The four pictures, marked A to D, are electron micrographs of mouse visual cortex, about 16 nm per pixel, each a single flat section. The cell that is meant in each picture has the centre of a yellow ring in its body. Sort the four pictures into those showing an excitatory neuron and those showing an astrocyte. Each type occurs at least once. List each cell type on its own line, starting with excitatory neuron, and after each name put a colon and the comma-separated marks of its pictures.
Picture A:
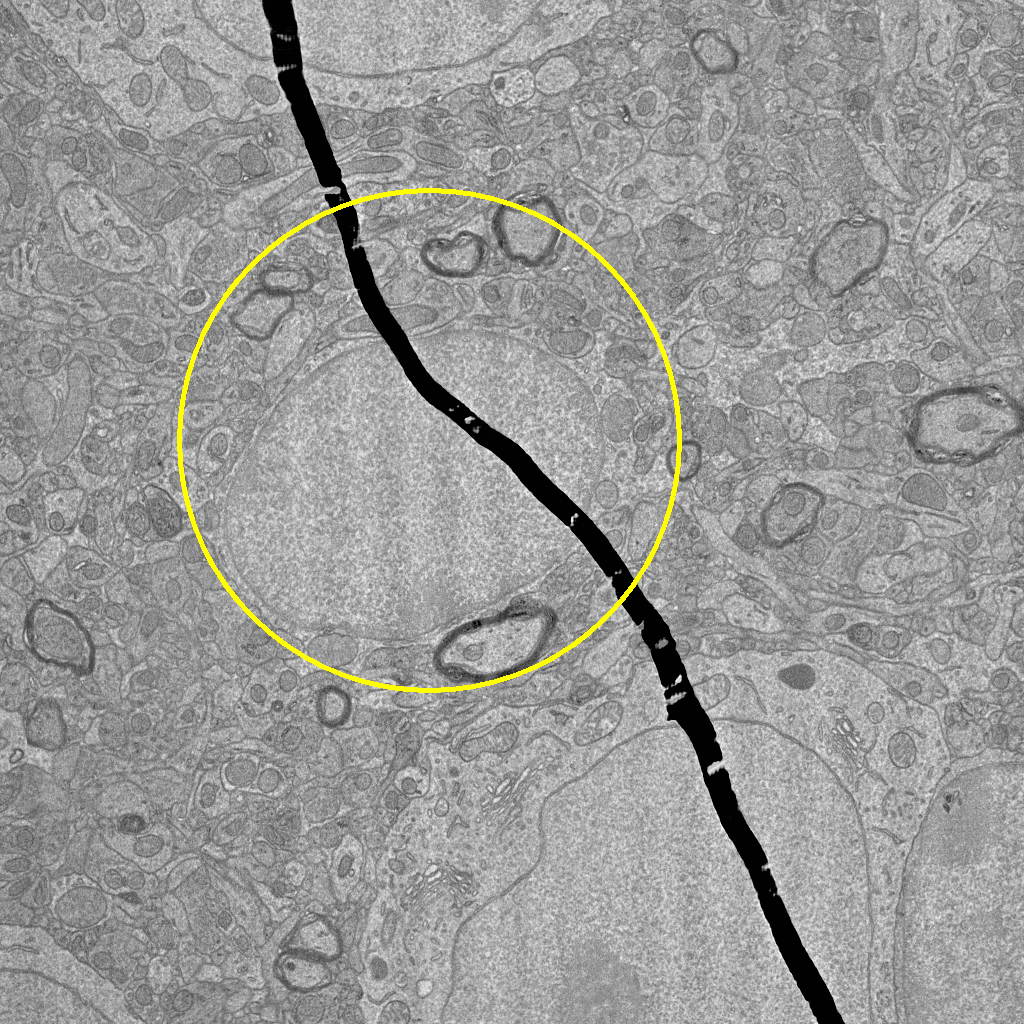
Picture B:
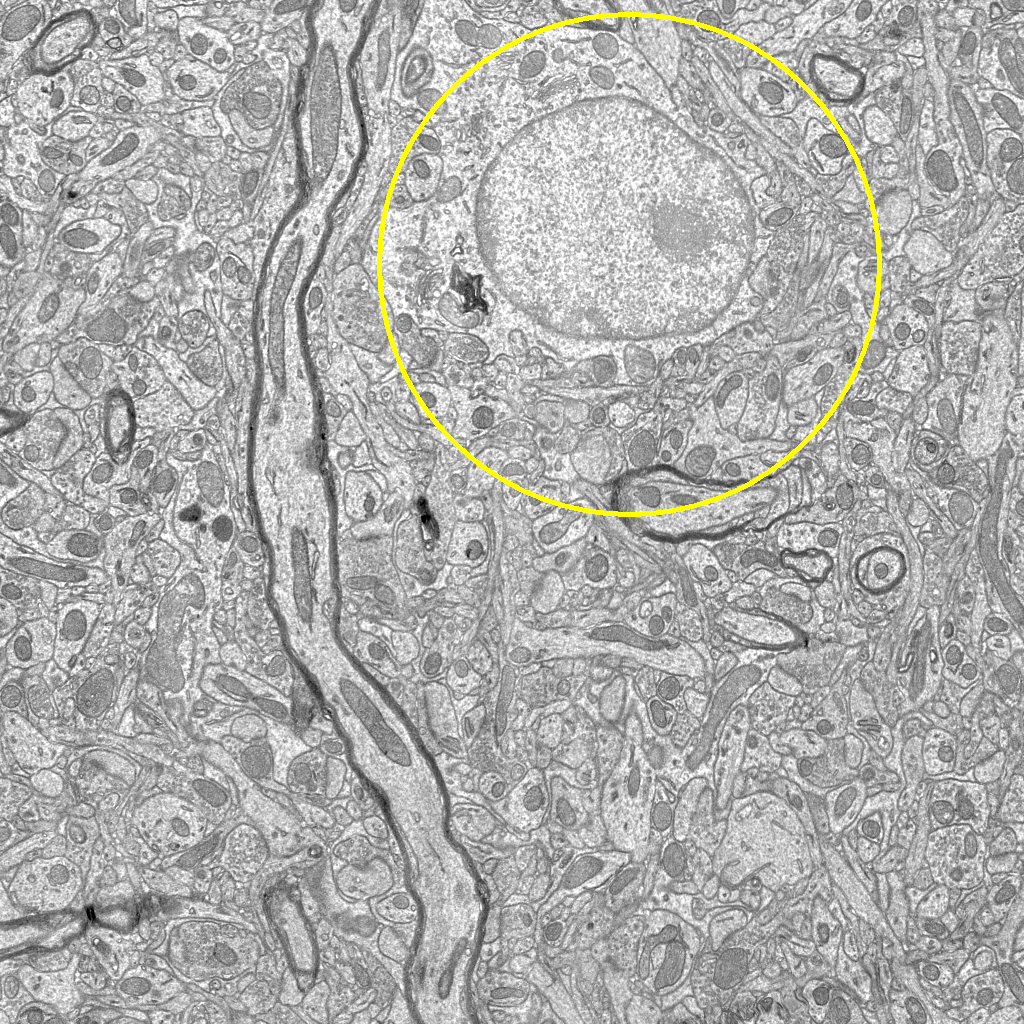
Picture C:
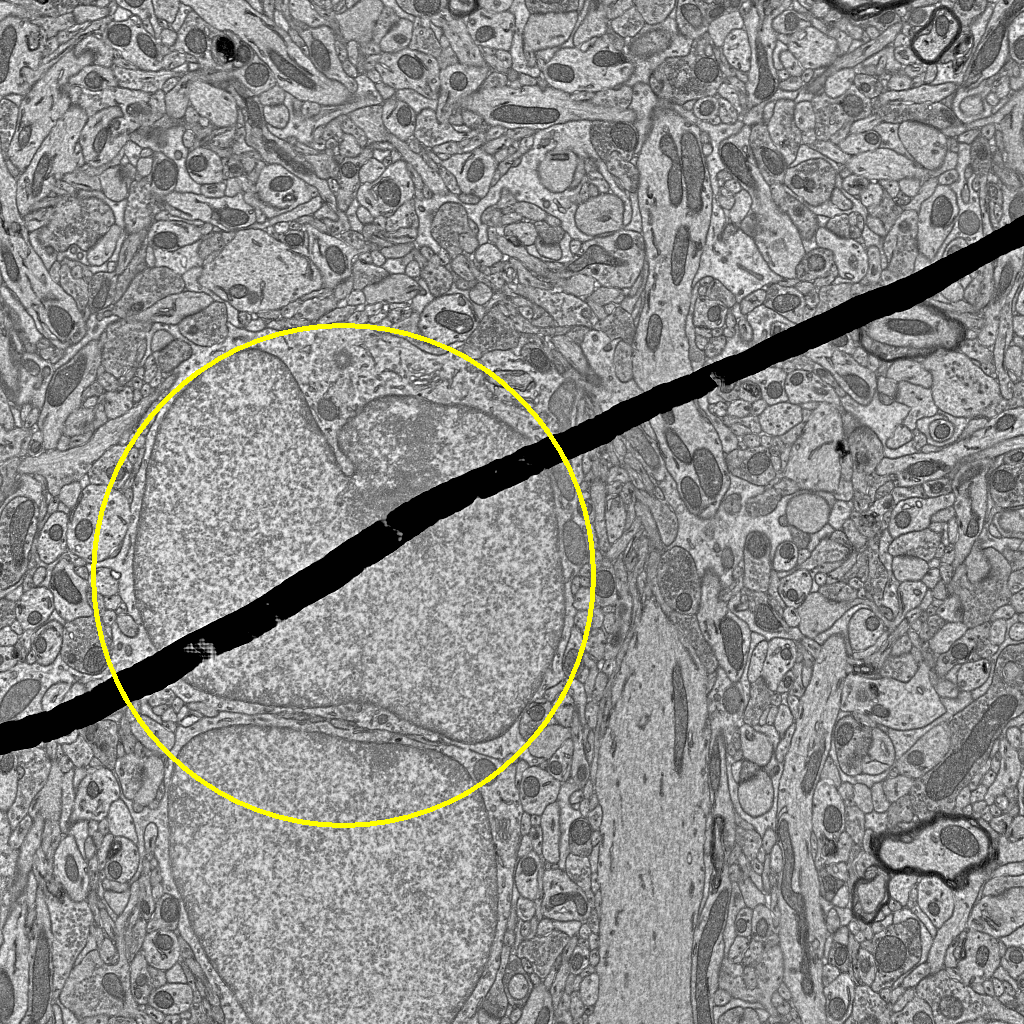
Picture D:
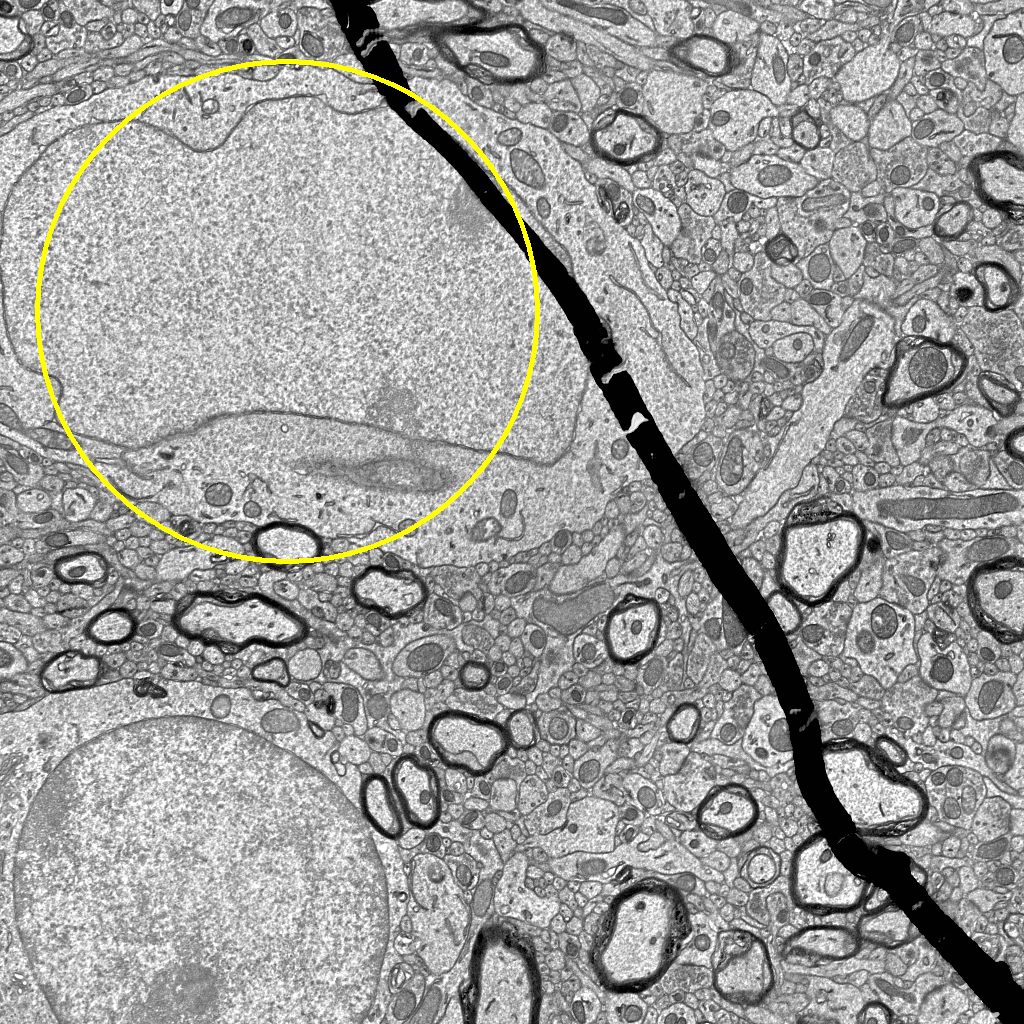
excitatory neuron: D
astrocyte: A, B, C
